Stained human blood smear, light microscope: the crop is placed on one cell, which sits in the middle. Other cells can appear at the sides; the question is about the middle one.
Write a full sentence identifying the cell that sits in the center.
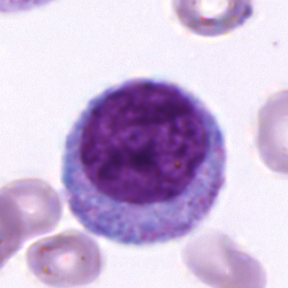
At the middle of the frame sits a myelocyte.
